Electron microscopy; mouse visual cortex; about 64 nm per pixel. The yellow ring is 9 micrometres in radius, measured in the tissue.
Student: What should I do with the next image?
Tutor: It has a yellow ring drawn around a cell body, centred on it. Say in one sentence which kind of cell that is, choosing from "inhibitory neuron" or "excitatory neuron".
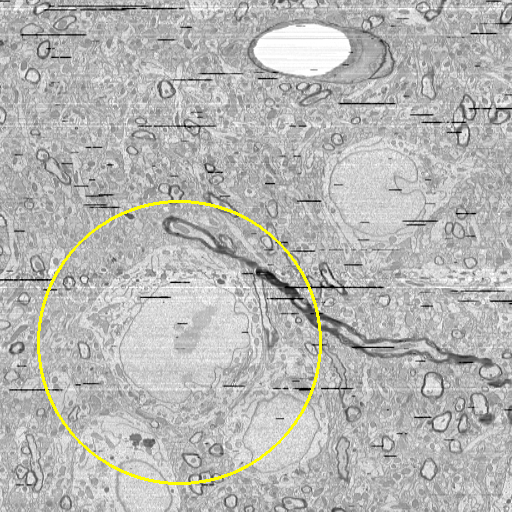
The ring's centre is occupied by an inhibitory neuron.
